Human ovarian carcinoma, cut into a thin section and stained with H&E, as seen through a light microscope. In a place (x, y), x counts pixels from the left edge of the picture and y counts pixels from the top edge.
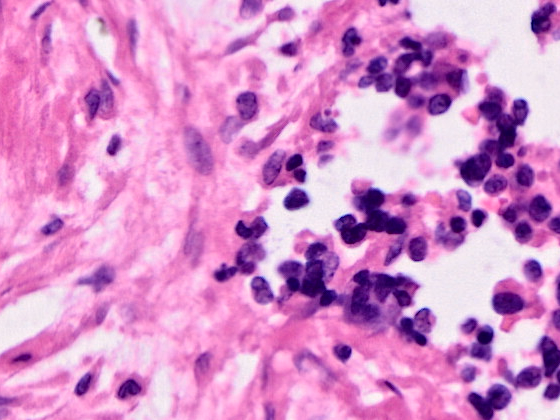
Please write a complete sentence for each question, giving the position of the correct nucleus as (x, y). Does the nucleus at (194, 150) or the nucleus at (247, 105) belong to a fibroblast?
Of the two, the nucleus lying at (194, 150) is the one belonging to a fibroblast.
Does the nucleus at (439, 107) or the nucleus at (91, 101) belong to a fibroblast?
Heads up, the nucleus at (91, 101) is the one that belongs to a fibroblast.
